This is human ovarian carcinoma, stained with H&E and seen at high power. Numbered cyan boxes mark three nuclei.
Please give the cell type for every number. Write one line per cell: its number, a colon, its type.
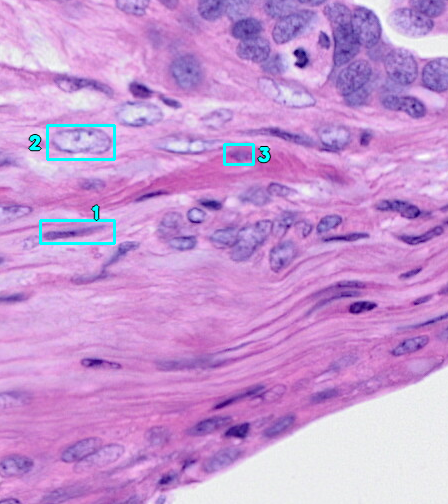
1: fibroblast
2: fibroblast
3: smooth muscle cell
